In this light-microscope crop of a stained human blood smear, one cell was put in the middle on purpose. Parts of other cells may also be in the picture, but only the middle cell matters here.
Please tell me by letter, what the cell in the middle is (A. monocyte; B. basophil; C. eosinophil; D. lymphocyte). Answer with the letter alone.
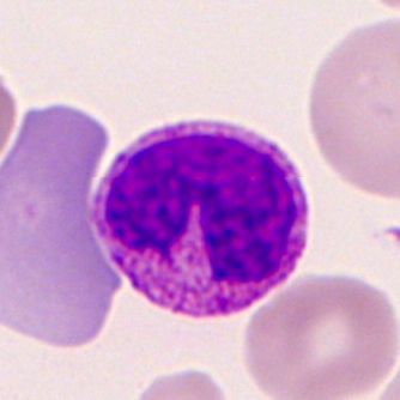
B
